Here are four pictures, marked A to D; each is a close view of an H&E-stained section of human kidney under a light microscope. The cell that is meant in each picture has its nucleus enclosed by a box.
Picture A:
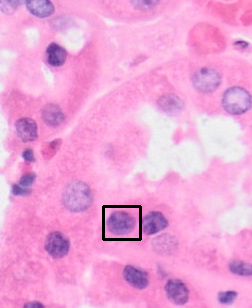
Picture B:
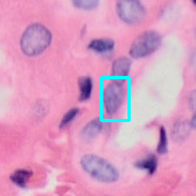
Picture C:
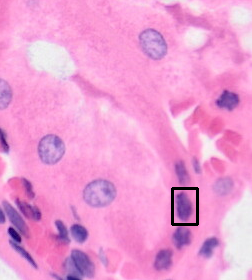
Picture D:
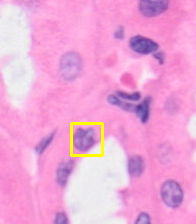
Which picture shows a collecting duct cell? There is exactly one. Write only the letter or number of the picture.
B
